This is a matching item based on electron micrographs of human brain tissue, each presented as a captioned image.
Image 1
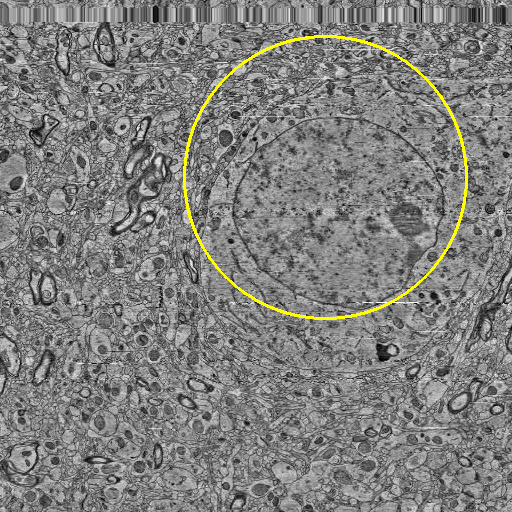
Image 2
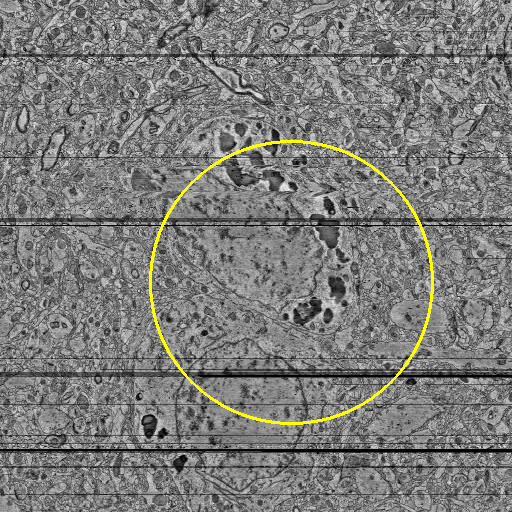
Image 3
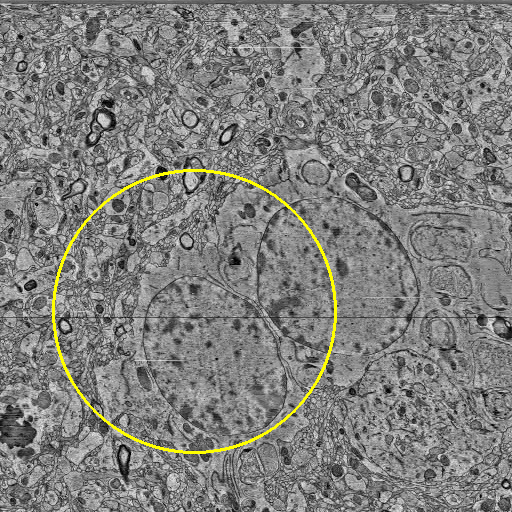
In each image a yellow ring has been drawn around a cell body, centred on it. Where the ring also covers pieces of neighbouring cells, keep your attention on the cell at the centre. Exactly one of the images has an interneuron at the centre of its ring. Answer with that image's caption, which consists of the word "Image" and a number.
Image 2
